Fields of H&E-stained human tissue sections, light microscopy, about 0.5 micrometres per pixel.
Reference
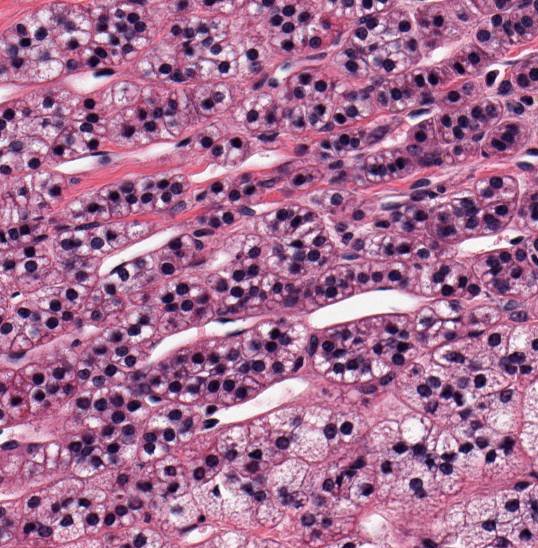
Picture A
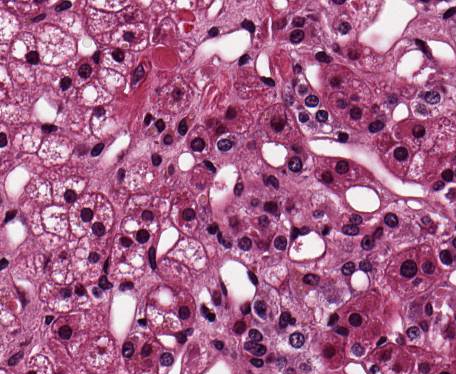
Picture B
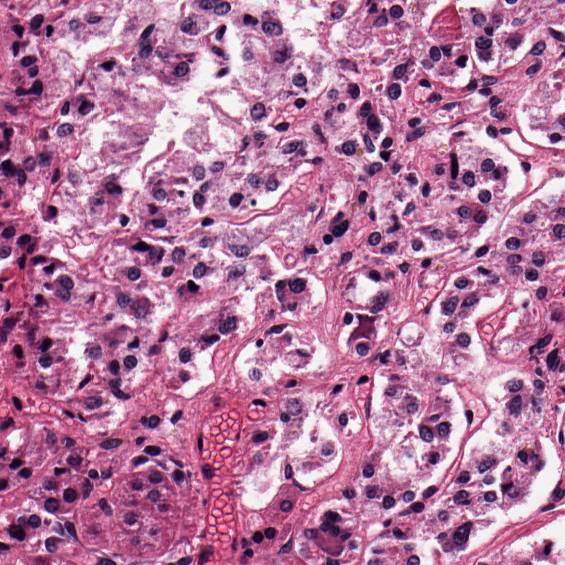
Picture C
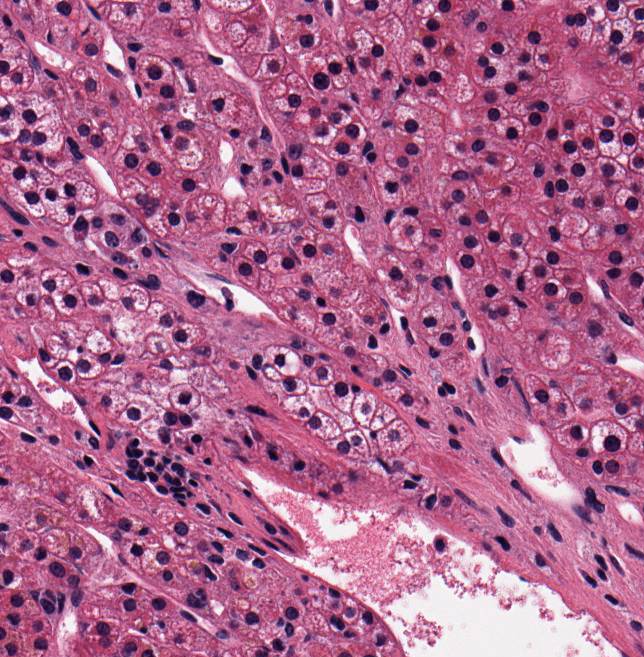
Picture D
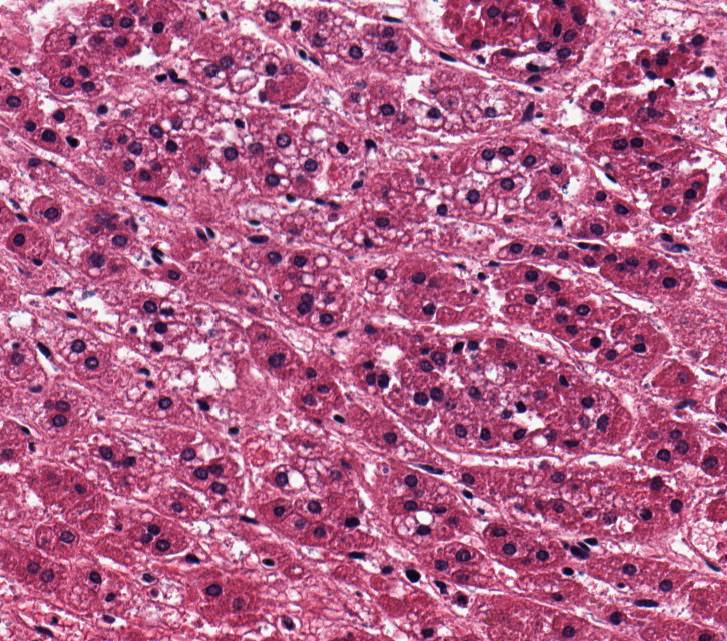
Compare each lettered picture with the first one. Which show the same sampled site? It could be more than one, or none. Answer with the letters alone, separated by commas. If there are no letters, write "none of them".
A, B, C, D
